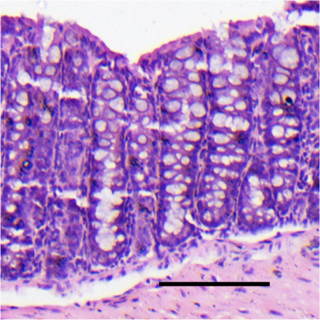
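This is colonic mucosa stained pink and purple, made of straight, closely packed tubular crypts that open onto a flat surface without villi. The crypt walls are lined by columnar epithelium crowded with goblet cells, whose rounded, pale, nearly clear mucin vacuoles give the crypts a bubbly look. Dark purple nuclei sit at the base of the epithelial cells. Between the crypts runs a thin band of lamina propria with scattered nuclei. Beneath the crypt bases lies a pink band of smooth muscle. The crypts are regular and evenly spaced, with little crowding of cells between them.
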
